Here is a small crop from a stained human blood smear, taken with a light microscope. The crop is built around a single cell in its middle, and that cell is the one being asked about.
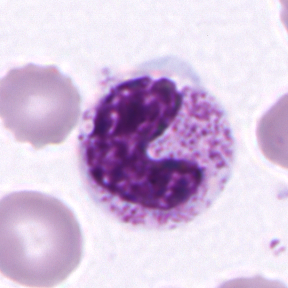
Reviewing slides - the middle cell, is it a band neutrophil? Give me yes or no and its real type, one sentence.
Yes, in the centre of this field sits a band neutrophil.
